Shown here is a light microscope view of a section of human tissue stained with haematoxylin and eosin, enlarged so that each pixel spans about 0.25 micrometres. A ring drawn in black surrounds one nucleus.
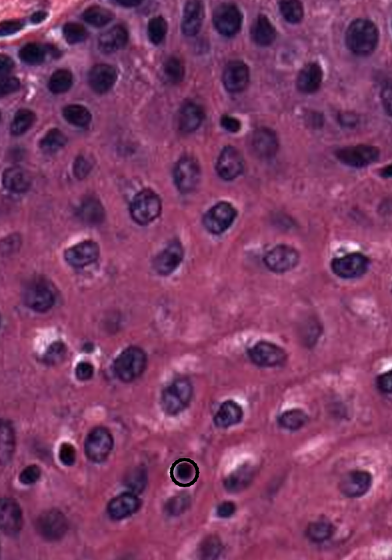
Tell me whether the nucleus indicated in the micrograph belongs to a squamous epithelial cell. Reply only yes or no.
no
